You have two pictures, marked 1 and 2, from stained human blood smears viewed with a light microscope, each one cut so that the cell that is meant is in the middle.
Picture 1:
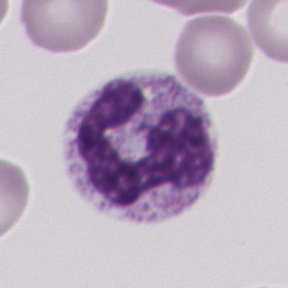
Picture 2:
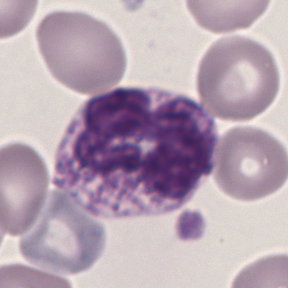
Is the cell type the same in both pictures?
no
